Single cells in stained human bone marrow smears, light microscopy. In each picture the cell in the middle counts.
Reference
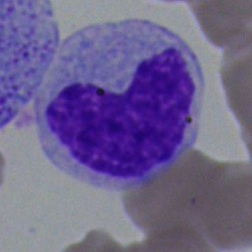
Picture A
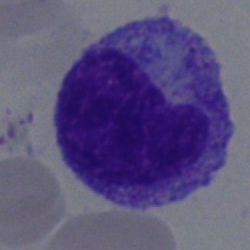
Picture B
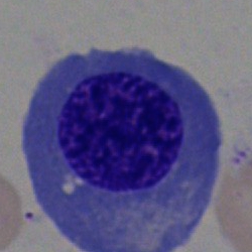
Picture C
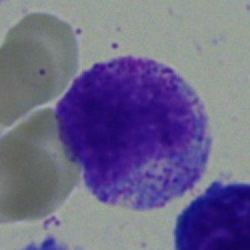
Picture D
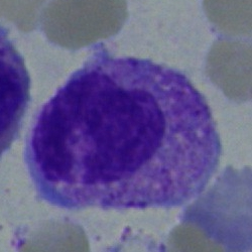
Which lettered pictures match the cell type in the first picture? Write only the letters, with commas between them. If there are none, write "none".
A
